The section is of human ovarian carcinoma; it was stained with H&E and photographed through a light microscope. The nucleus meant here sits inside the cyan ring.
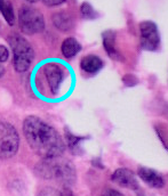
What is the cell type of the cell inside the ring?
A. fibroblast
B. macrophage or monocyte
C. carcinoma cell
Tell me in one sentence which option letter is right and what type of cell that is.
Exactly as option C gives it, the cell inside the ring is a carcinoma cell.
